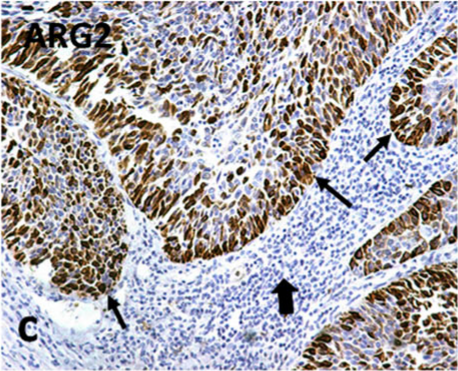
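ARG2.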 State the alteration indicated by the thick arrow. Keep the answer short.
Intense lymphocytic infiltration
